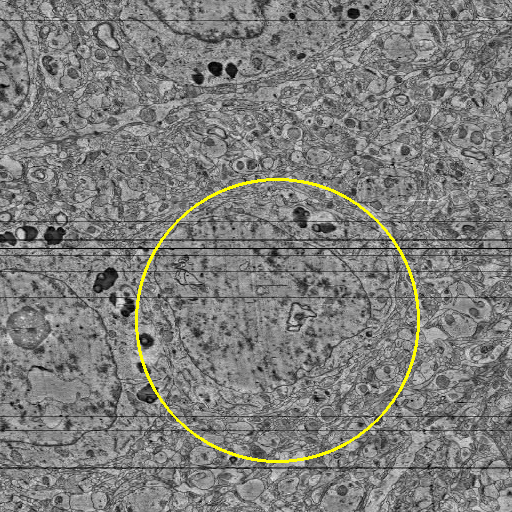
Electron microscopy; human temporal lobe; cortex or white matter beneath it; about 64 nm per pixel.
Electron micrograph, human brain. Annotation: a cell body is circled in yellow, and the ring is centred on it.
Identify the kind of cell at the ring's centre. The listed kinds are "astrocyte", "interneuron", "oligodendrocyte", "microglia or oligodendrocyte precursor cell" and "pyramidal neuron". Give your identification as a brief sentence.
The circled cell body is that of a pyramidal neuron.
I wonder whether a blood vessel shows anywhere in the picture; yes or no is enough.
No, there is none.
